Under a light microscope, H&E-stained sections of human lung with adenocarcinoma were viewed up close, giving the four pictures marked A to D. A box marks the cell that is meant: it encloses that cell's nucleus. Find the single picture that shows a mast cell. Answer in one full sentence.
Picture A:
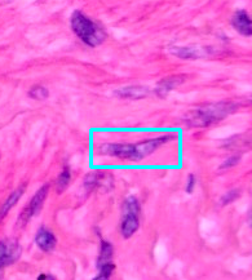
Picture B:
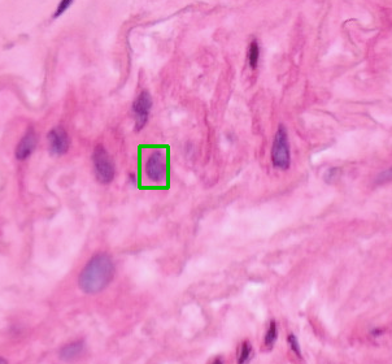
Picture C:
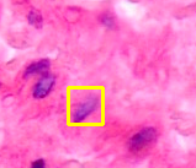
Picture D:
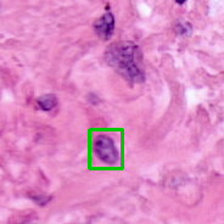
The picture with the mast cell is D.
